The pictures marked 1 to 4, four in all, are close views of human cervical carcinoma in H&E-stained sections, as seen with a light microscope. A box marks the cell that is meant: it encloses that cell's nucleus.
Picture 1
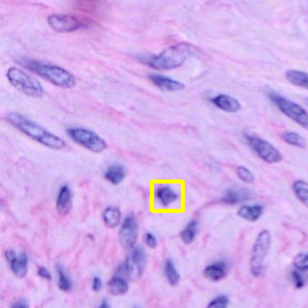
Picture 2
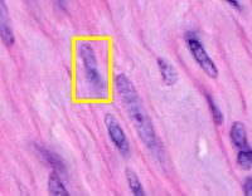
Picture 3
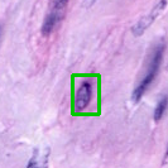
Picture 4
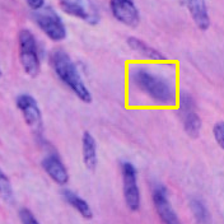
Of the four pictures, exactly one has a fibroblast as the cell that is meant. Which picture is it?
4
